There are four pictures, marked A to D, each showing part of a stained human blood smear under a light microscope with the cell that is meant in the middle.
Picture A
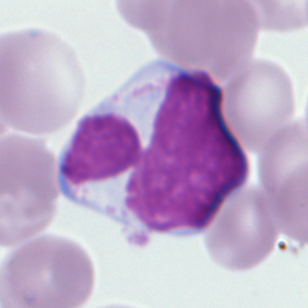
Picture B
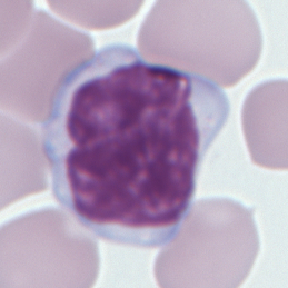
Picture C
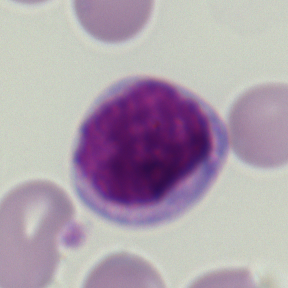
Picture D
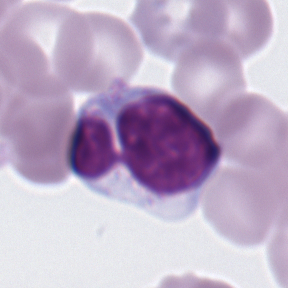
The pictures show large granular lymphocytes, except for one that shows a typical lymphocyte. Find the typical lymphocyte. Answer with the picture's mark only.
B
